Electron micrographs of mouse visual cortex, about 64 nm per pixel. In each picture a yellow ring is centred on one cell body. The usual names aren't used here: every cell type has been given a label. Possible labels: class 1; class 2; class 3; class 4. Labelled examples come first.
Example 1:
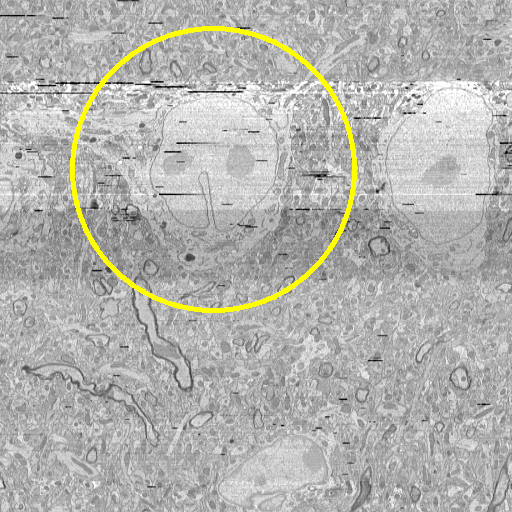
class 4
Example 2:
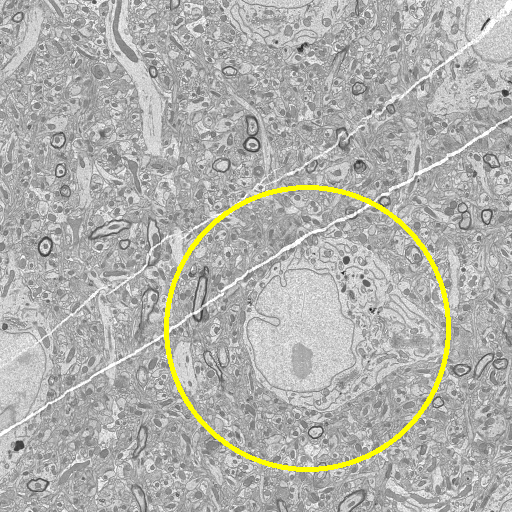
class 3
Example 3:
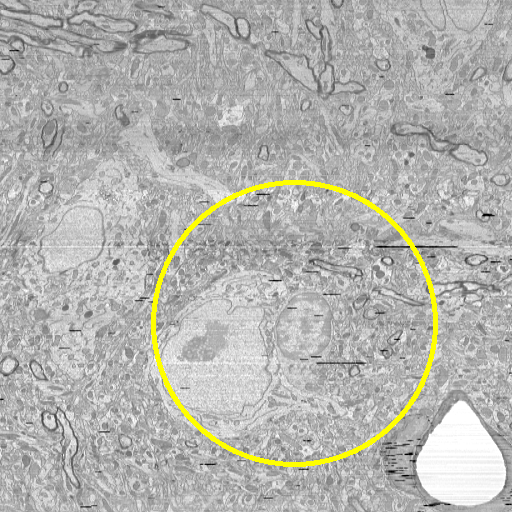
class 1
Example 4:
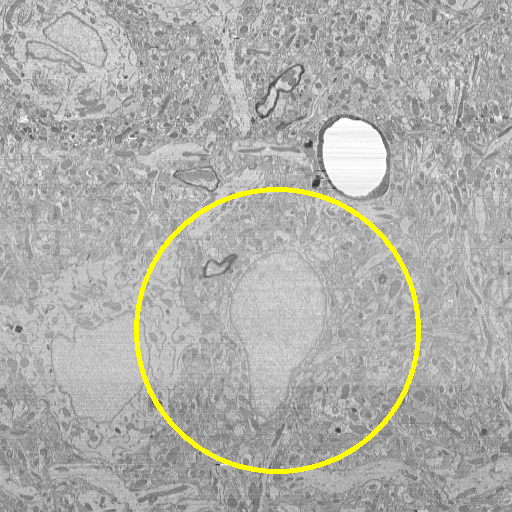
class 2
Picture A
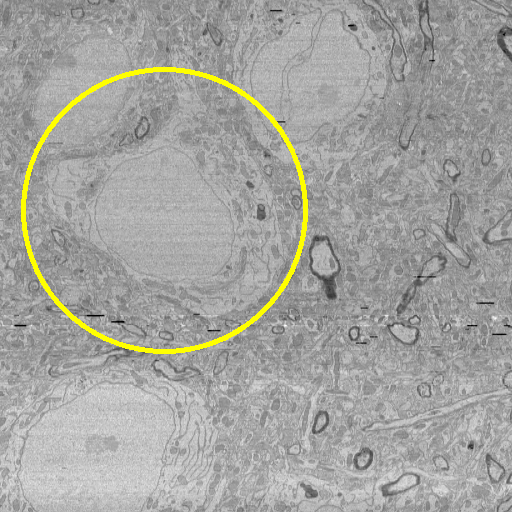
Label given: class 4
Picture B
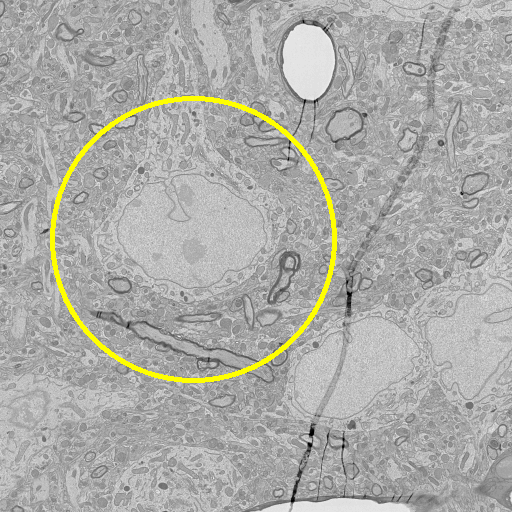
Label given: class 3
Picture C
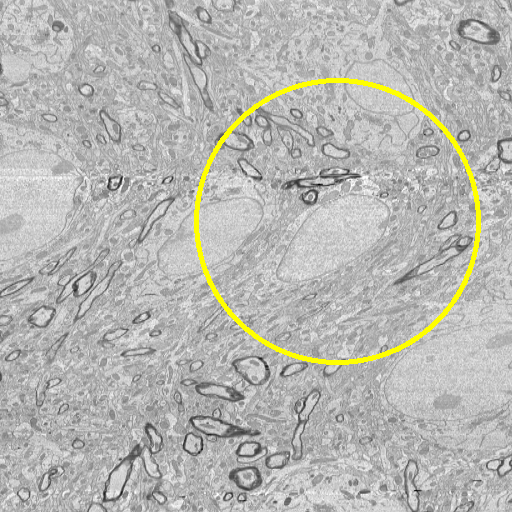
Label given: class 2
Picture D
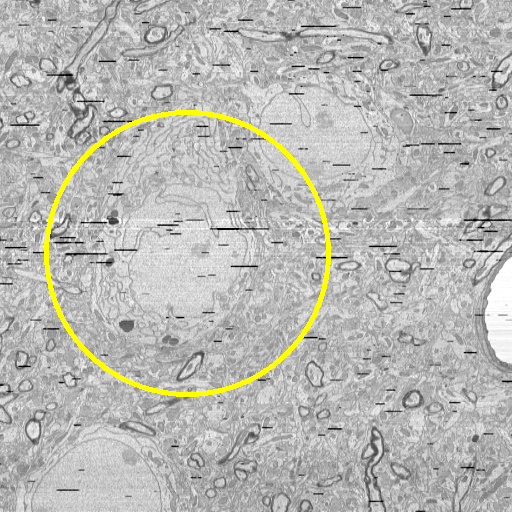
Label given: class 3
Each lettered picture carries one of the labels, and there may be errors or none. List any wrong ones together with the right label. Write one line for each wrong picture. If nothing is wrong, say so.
All correct.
